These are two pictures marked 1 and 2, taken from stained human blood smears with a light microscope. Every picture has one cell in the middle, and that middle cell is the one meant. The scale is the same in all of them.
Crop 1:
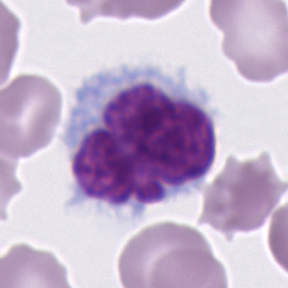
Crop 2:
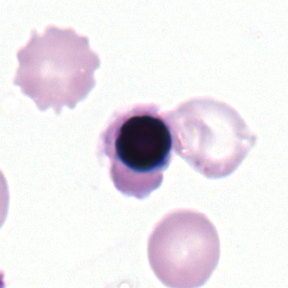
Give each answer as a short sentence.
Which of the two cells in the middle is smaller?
It is the cell in crop 2; the cell in crop 1 has about 3 times its area.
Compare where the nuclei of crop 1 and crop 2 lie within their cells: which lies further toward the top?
It is the nucleus in crop 2 that lies further toward the top of its cell.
